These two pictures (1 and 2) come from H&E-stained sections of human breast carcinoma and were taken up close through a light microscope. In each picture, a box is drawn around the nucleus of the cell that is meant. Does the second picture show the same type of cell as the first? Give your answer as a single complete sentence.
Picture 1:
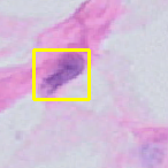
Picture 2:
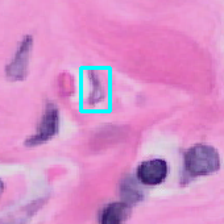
No; the cell in picture 1 is a fibroblast, while the one in picture 2 is an endothelial cell.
